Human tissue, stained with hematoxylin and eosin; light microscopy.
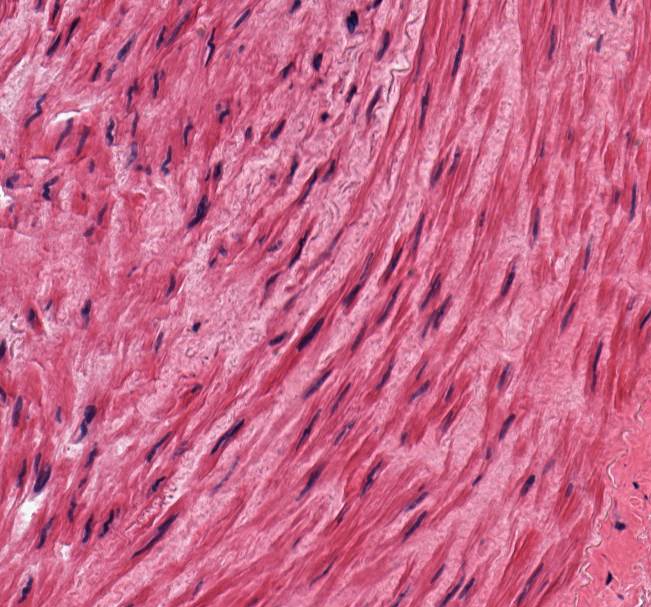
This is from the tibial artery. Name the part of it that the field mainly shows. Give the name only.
tunica media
